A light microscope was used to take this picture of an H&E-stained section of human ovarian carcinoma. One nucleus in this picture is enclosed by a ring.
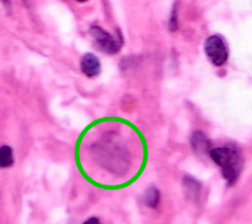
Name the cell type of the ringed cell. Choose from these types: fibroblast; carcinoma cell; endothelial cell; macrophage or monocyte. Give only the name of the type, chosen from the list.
fibroblast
